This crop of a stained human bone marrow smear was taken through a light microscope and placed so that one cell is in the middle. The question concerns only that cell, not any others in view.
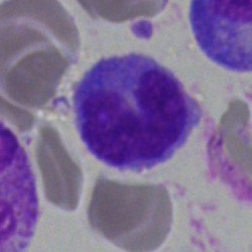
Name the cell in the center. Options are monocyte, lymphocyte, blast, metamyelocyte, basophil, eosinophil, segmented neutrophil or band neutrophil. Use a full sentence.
Present in the middle of the crop is a monocyte.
